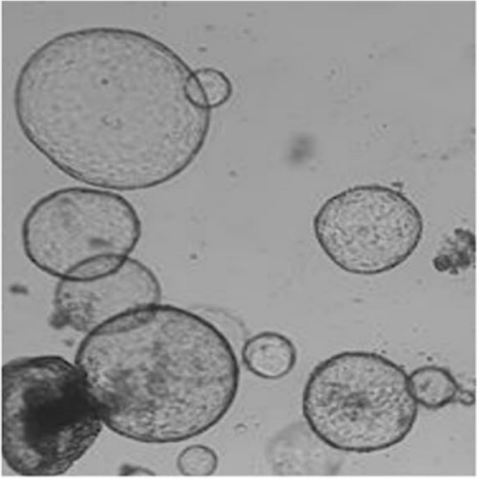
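Several spherical organoids of varying size are seen, each bounded by a thin, sharply outlined wall of cells around a translucent interior. Some cysts overlap one another, and a denser, dark irregular cell mass lies at the lower left edge.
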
